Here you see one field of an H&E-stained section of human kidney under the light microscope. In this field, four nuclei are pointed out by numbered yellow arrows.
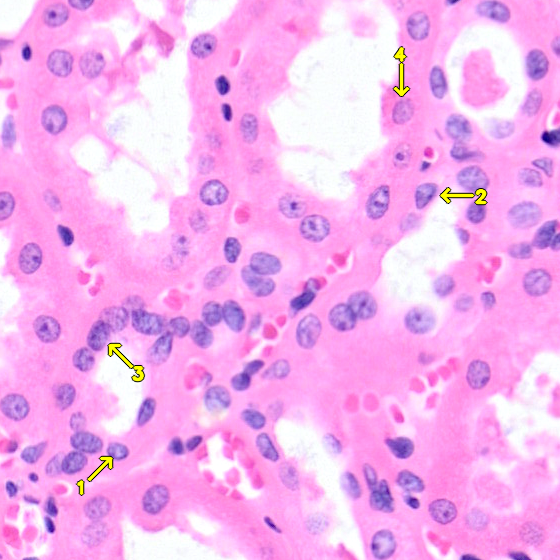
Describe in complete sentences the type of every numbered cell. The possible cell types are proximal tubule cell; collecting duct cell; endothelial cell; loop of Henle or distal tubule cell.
Cell 1 is a collecting duct cell, cell 2 is a collecting duct cell, cell 3 is a collecting duct cell and cell 4 is a proximal tubule cell.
